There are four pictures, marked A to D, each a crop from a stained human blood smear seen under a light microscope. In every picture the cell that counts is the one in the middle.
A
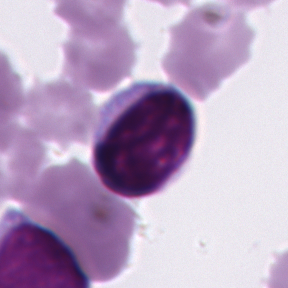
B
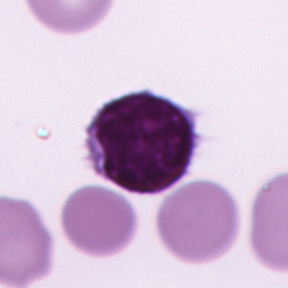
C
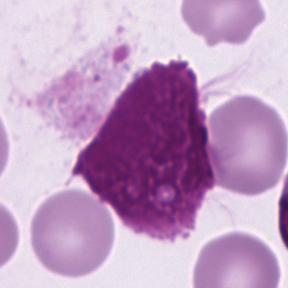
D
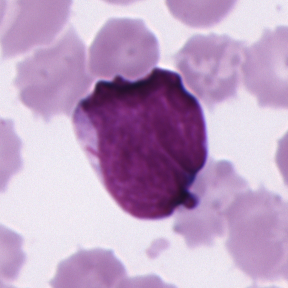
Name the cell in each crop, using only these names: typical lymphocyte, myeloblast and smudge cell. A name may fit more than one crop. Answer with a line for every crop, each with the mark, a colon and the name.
A: typical lymphocyte
B: typical lymphocyte
C: smudge cell
D: myeloblast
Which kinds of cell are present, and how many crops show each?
typical lymphocyte: 2
smudge cell: 1
myeloblast: 1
